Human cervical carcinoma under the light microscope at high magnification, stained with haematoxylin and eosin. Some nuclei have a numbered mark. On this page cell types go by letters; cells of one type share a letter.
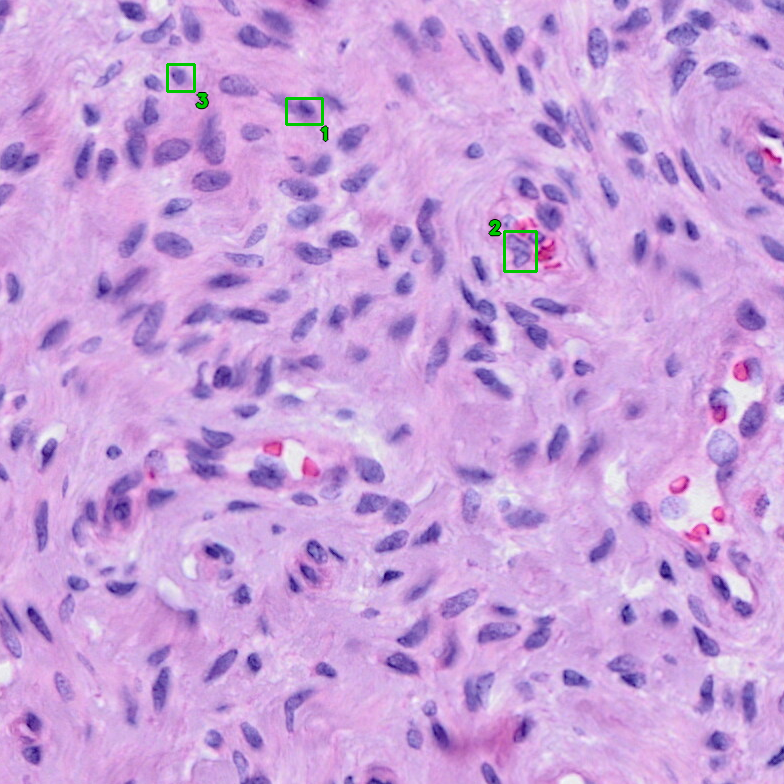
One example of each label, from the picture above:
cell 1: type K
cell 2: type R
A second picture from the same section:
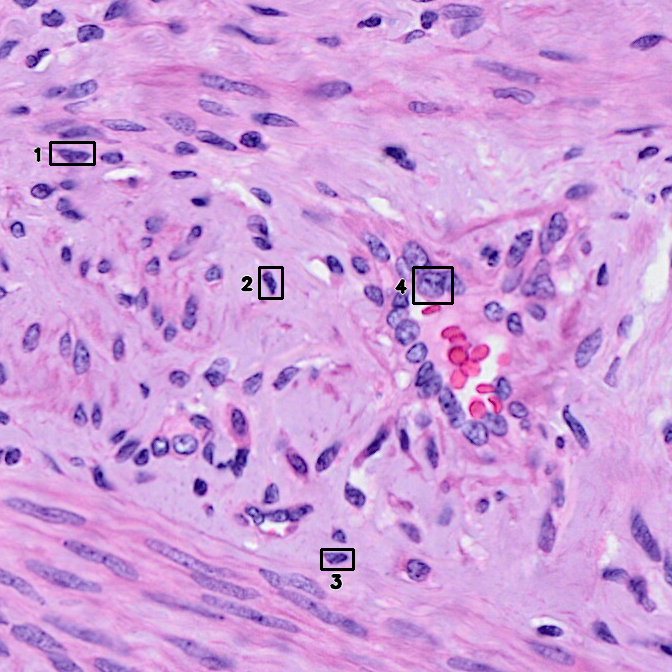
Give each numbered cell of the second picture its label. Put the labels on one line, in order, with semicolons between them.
type K; type K; type K; type R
